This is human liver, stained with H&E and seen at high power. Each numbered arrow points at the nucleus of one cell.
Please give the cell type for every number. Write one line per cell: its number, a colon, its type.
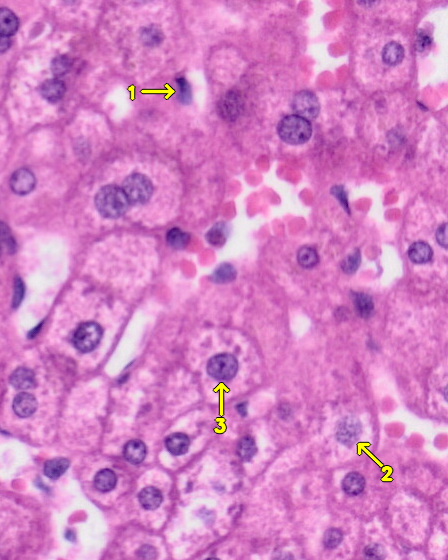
1: Kupffer cell
2: hepatocyte
3: hepatocyte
